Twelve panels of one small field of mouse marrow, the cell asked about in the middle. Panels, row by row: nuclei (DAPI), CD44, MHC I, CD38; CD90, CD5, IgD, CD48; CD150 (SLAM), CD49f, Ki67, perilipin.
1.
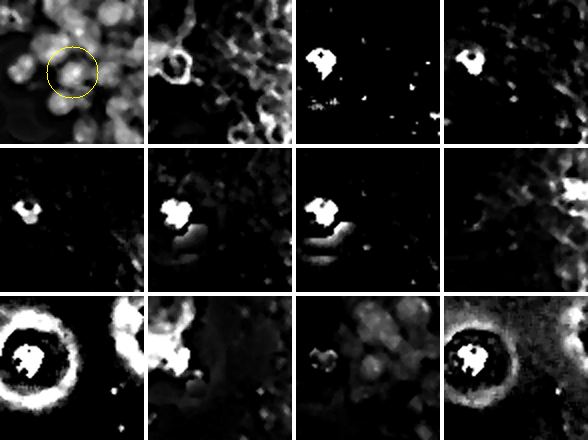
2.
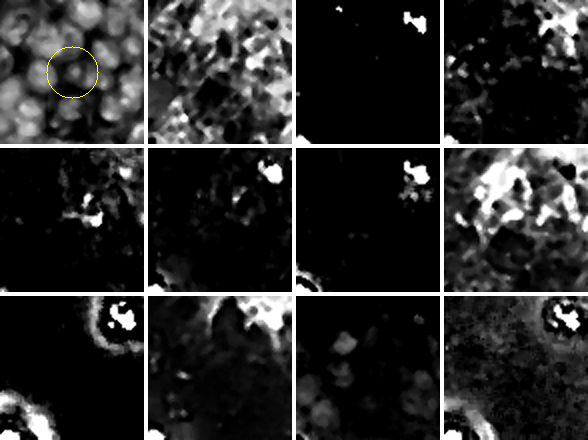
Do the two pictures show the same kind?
No: an erythroblast, then a monocyte.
